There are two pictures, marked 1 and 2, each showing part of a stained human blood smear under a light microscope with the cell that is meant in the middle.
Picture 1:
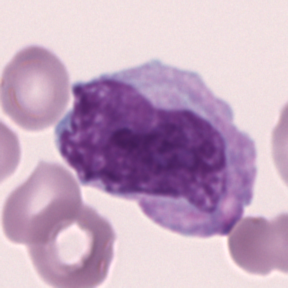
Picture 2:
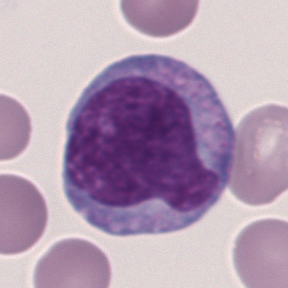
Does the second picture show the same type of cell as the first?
yes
